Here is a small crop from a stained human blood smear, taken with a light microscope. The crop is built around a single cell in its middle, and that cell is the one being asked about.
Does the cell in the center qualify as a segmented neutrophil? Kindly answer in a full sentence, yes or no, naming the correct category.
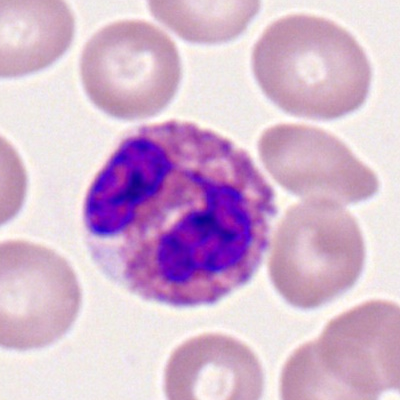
No, an eosinophil, not a segmented neutrophil, is what sits in the centre of the crop.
